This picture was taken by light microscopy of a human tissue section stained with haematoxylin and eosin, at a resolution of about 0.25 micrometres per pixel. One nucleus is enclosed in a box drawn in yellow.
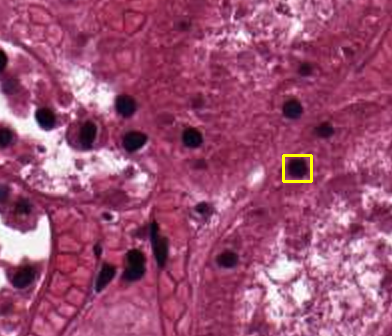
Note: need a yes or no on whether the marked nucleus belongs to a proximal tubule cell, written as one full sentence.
Yes, the marked nucleus is contained in a proximal tubule cell.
